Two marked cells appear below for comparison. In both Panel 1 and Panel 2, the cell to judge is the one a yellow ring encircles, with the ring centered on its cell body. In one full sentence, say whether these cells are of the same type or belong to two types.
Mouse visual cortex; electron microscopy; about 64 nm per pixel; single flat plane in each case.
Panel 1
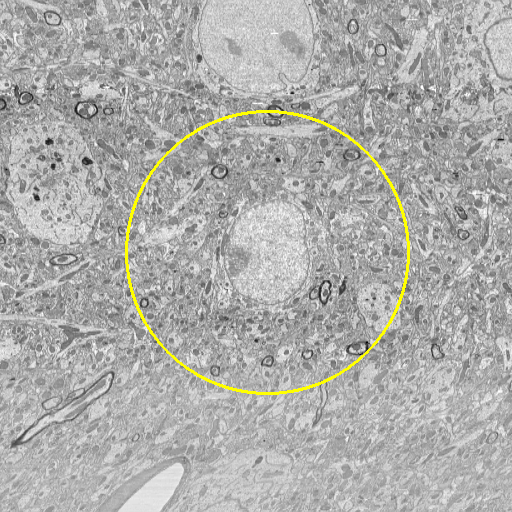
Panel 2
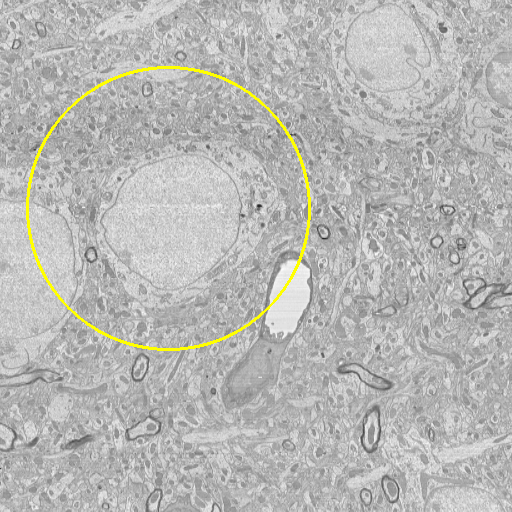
The cell centered in the Panel 1 ring and the one in Panel 2 belong to two types.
